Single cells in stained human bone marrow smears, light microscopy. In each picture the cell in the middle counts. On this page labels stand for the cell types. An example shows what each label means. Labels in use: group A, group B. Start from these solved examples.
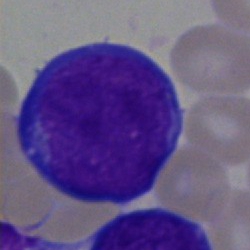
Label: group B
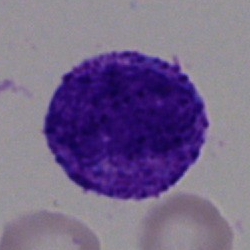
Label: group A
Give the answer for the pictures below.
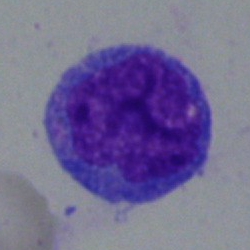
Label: group B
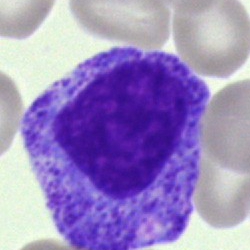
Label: group A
